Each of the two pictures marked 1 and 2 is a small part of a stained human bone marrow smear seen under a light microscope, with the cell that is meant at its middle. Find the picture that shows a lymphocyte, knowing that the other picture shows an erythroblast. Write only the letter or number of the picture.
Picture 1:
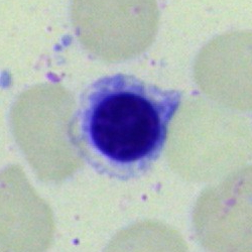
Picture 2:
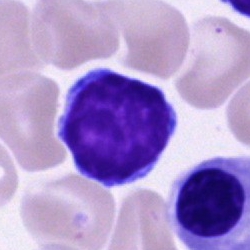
2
